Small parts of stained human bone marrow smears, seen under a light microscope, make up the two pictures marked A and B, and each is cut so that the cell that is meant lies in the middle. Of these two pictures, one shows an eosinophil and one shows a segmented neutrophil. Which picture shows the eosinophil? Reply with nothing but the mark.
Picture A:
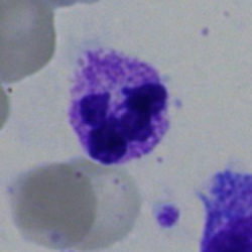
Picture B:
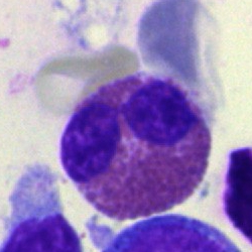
B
